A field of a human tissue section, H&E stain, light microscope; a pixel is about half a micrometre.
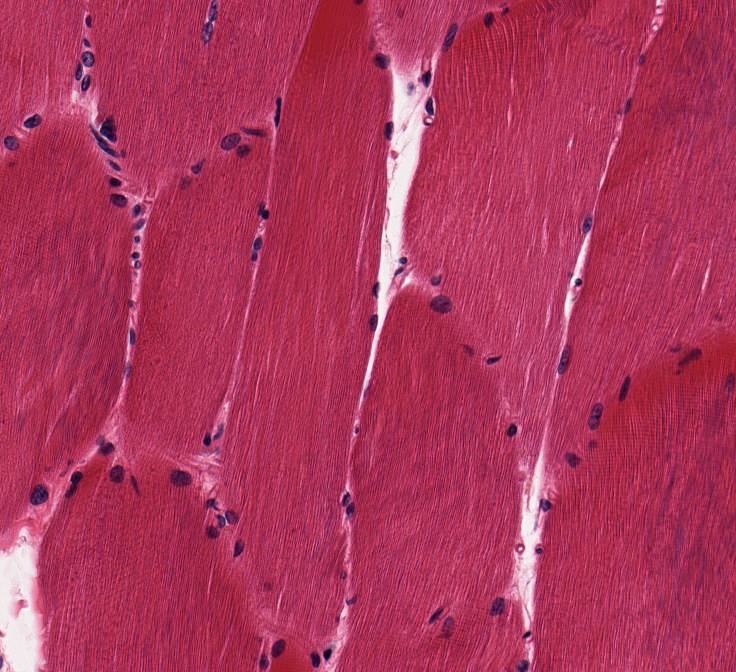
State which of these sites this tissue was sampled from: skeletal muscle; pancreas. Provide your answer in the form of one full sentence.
Tissue of the skeletal muscle was sampled to make this section.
